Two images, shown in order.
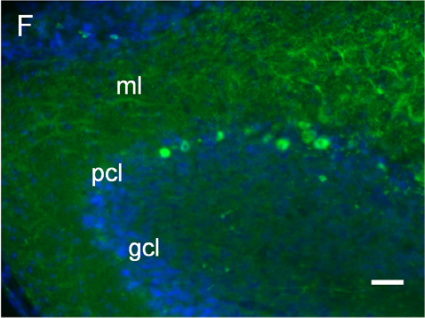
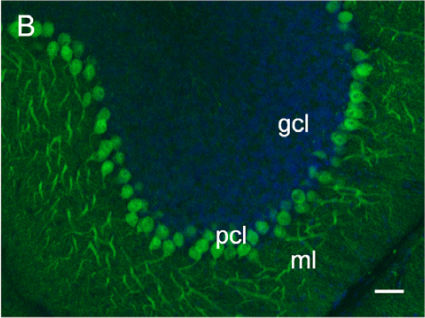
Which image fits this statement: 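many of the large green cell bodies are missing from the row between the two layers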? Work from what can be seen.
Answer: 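The first image. First image: only a few scattered green cell bodies lie along the border of the blue nuclear layer, with long gaps between them. Second image: green cell bodies form a nearly continuous single row along the border of the blue nuclear layer.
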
